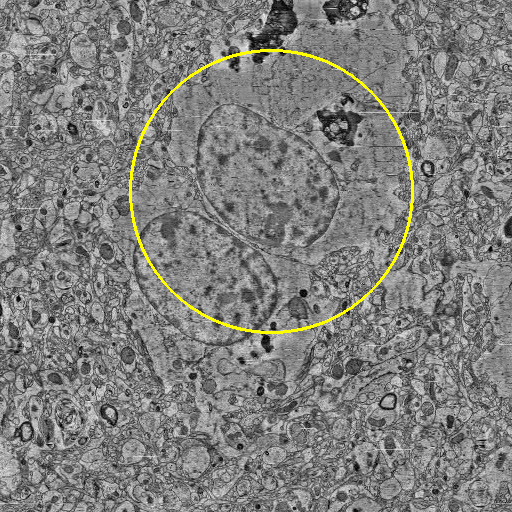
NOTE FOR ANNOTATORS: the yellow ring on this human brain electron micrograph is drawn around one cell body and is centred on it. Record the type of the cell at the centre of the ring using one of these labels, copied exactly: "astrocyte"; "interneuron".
astrocyte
